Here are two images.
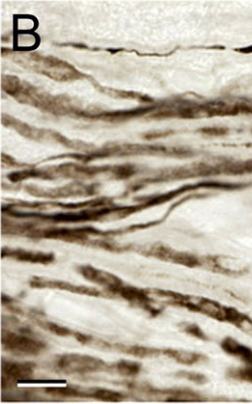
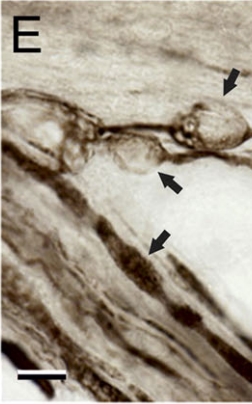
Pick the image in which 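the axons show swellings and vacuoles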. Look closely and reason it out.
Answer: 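Second image: several fibres bulge into rounded swellings with clear spaces.
The second image.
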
